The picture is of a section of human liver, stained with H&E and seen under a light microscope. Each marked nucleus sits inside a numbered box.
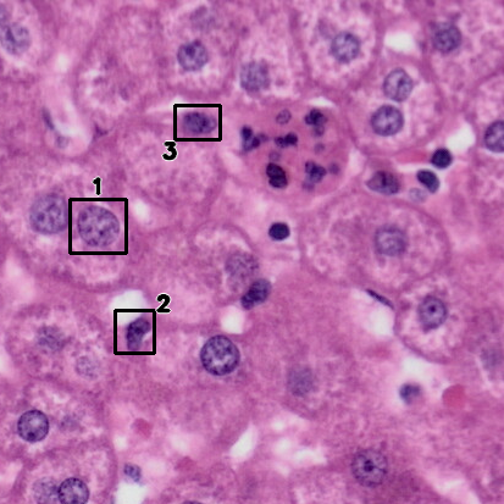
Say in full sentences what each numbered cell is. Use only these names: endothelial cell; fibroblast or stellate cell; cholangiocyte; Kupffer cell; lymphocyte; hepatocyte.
Cell 1 is a hepatocyte, cell 2 is a Kupffer cell and cell 3 is a Kupffer cell.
